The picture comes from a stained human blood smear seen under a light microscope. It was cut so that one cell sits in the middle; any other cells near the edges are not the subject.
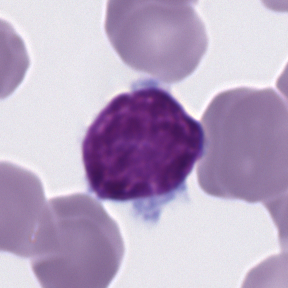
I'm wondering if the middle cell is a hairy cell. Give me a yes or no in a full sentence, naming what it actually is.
Yes, this central cell is a hairy cell.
